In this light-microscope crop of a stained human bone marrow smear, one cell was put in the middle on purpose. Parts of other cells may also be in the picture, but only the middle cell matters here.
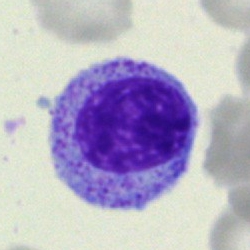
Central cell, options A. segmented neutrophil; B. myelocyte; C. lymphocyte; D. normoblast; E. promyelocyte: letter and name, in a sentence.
This one is option B, since the cell at the center is a myelocyte.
